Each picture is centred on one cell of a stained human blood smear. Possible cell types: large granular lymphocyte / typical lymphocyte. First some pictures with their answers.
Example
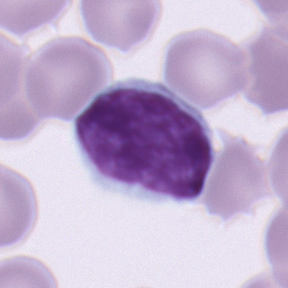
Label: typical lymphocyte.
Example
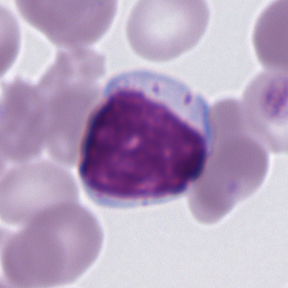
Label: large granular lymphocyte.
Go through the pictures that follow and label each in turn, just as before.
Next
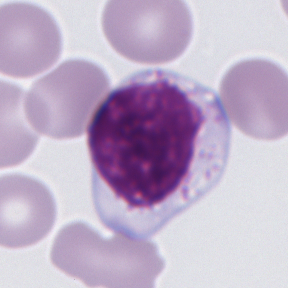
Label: large granular lymphocyte.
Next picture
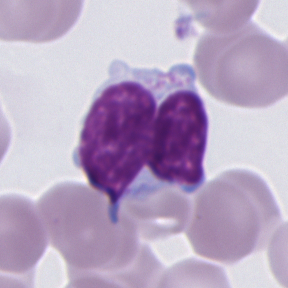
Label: large granular lymphocyte.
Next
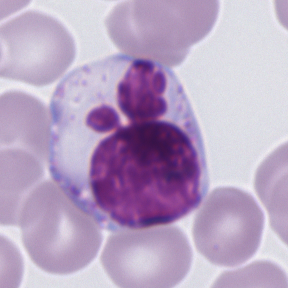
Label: large granular lymphocyte.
